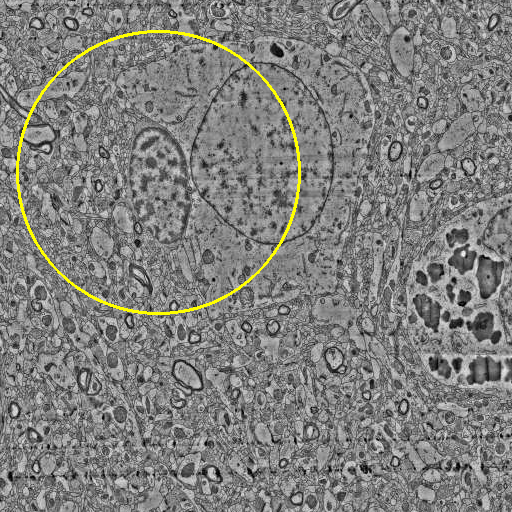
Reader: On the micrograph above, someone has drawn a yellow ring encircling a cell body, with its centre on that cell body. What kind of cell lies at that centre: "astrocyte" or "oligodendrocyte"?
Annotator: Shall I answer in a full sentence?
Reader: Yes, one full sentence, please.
Here an oligodendrocyte sits at the centre of the yellow ring drawn on the micrograph.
